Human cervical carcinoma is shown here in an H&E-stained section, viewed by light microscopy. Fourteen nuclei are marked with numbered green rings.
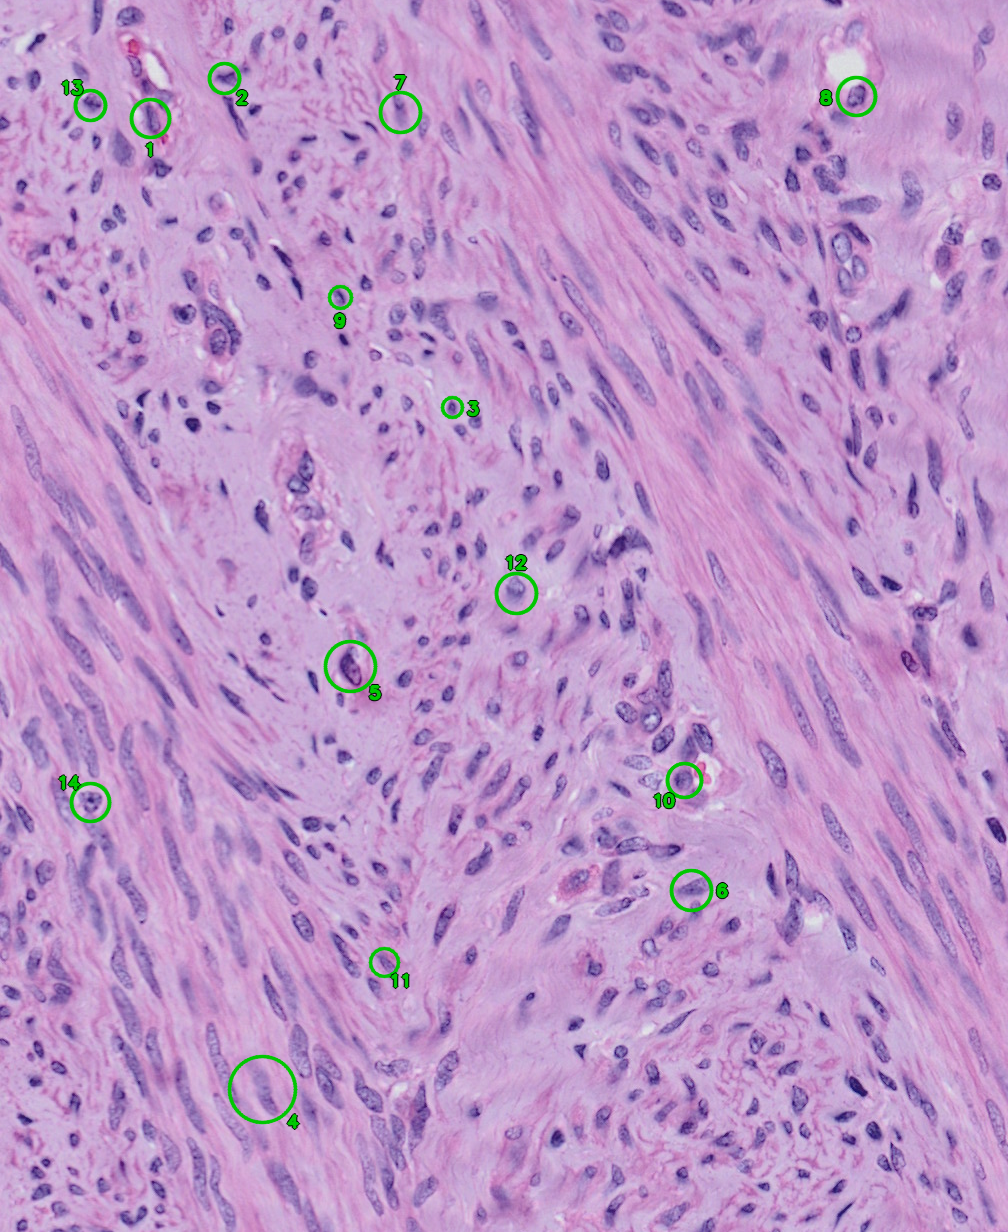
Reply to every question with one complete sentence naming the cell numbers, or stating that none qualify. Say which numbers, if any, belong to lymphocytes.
Exactly one numbered cell is a lymphocyte, and that cell is number 14.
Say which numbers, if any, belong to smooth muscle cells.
The cells which carry the numbers 3, 4, 7 and 11 are smooth muscle cells.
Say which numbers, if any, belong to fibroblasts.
The cells numbered 2, 6, 9, 12 and 13 are of one kind: fibroblasts.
